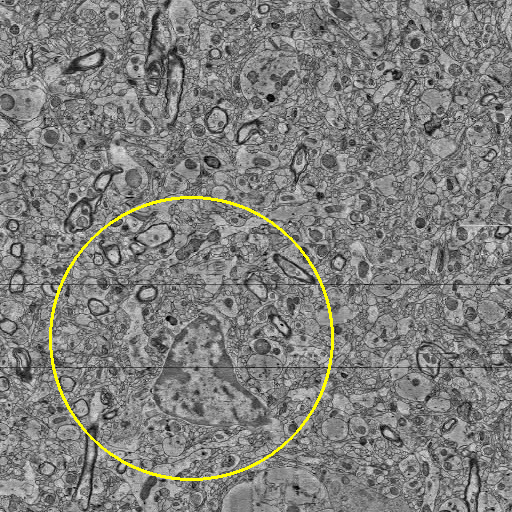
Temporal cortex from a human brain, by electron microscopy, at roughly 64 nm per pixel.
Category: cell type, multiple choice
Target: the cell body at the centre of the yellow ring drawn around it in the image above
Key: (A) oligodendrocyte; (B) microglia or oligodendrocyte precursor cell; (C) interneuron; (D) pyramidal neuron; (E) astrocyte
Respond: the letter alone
B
